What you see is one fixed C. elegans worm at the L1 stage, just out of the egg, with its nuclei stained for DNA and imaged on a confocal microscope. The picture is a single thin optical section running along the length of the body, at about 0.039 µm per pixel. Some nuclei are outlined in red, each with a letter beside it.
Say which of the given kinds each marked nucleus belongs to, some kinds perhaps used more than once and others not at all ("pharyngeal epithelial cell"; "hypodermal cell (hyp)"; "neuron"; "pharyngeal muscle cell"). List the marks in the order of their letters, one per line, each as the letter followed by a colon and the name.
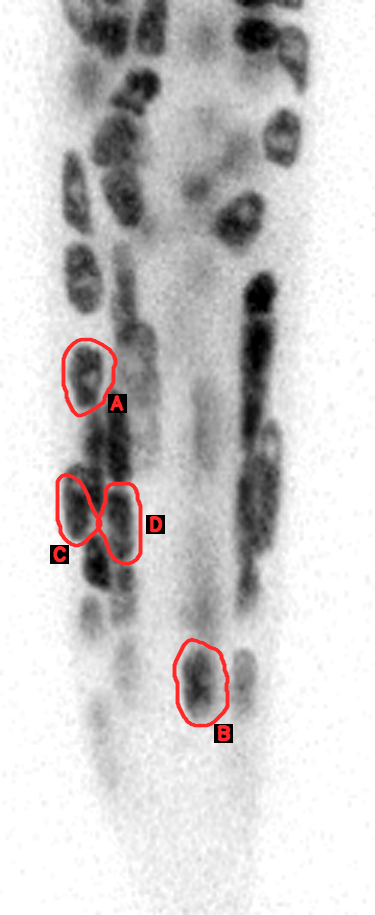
A: hypodermal cell (hyp)
B: pharyngeal epithelial cell
C: hypodermal cell (hyp)
D: pharyngeal muscle cell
